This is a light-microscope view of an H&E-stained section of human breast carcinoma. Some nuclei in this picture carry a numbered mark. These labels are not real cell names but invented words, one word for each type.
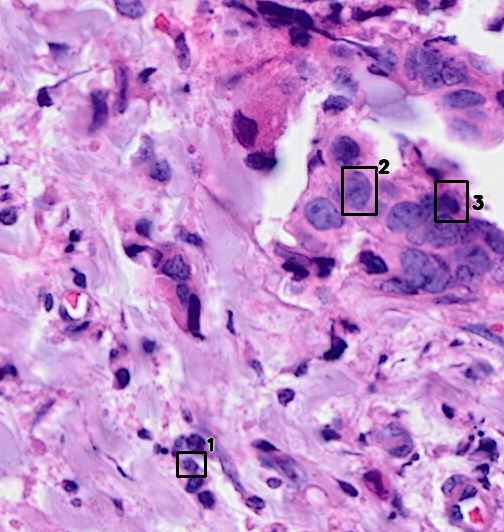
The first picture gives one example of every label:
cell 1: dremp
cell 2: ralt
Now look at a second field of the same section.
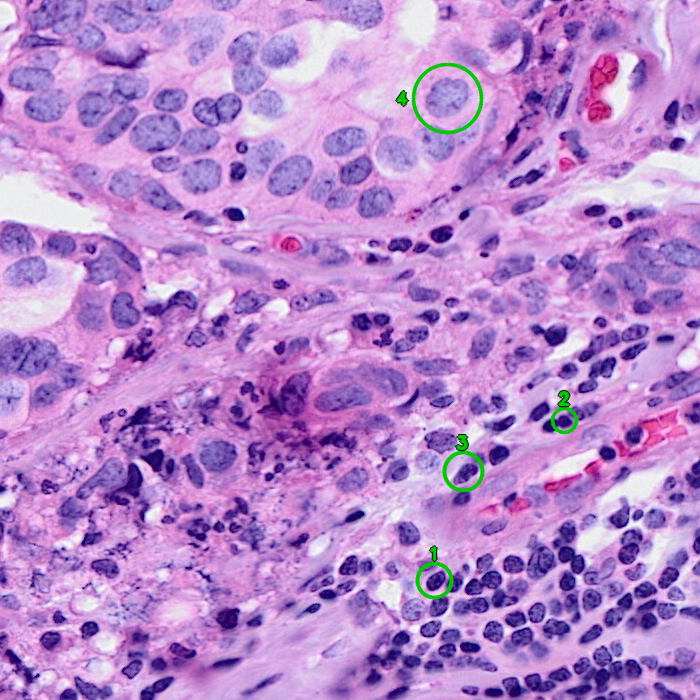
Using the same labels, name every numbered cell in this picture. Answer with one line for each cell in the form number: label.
1: dremp
2: dremp
3: dremp
4: ralt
